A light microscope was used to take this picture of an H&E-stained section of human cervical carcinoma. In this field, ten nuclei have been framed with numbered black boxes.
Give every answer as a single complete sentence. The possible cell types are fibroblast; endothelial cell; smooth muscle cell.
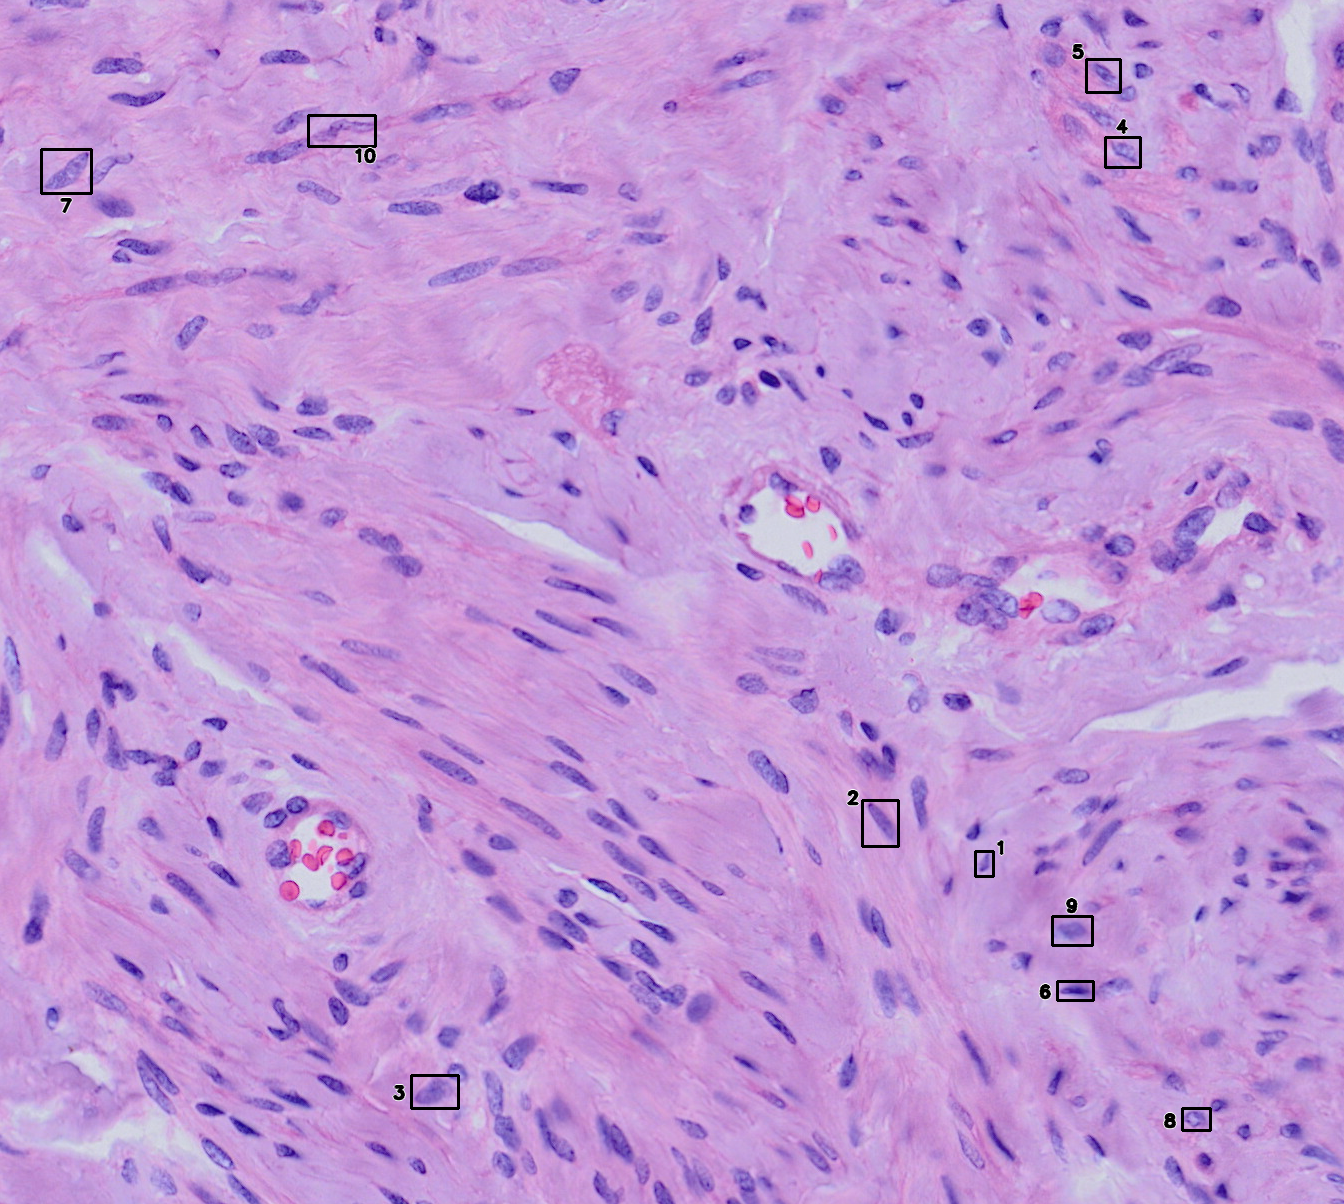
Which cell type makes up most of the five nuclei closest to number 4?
Smooth muscle cells account for more than half of the five nuclei nearest to number 4.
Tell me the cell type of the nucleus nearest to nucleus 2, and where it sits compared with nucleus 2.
The nearest one is a fibroblast, found above and to the right of nucleus 2.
